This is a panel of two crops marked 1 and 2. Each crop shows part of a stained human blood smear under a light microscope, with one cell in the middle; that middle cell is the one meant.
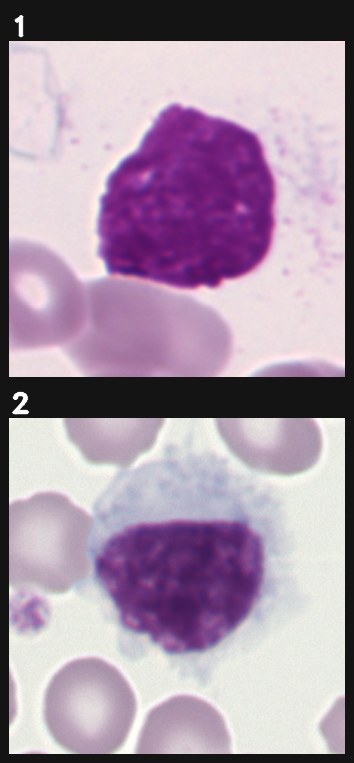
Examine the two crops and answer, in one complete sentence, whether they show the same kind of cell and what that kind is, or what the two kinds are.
No: a smudge cell sits in crop 1, and a hairy cell sits in crop 2.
